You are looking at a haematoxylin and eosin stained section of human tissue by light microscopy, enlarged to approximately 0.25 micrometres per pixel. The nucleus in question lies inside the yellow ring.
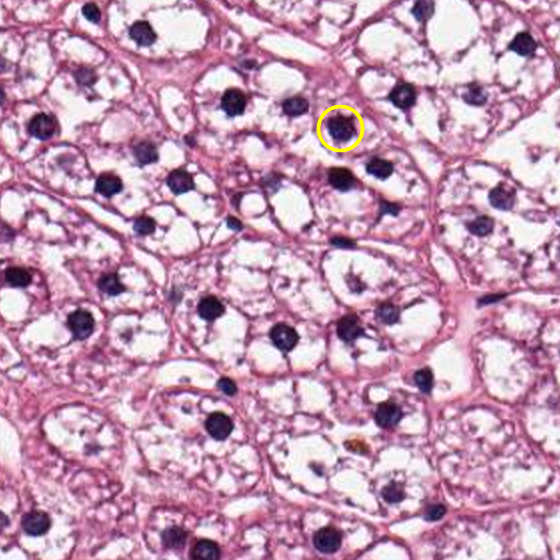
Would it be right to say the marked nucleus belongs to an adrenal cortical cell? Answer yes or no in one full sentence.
Yes, an adrenal cortical cell is the cell that the marked nucleus belongs to.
